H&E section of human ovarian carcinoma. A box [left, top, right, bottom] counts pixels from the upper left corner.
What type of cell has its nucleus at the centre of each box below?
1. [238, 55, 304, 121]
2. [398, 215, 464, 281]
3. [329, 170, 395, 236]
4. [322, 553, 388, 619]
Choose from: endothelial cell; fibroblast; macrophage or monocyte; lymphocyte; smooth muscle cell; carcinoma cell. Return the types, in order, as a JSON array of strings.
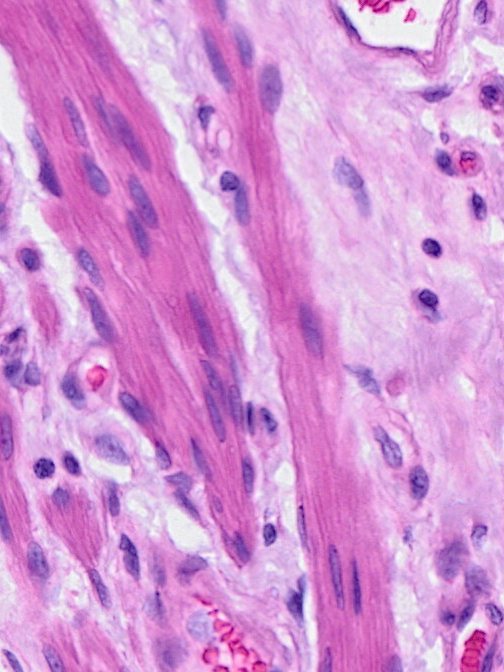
["smooth muscle cell", "lymphocyte", "fibroblast", "smooth muscle cell"]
